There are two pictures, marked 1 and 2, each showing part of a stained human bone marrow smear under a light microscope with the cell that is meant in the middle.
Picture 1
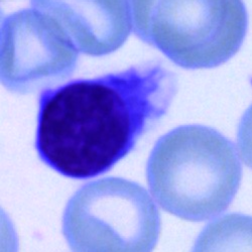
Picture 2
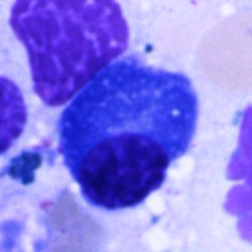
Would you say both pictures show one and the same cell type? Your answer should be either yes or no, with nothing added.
no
